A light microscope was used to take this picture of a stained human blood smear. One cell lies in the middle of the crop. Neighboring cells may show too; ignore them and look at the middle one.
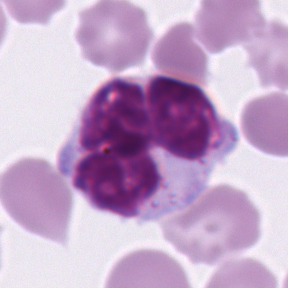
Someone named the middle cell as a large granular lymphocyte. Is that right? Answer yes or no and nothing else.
yes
